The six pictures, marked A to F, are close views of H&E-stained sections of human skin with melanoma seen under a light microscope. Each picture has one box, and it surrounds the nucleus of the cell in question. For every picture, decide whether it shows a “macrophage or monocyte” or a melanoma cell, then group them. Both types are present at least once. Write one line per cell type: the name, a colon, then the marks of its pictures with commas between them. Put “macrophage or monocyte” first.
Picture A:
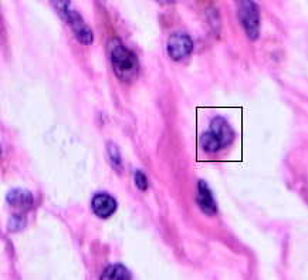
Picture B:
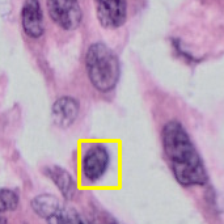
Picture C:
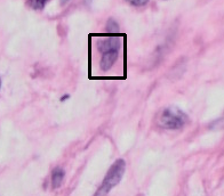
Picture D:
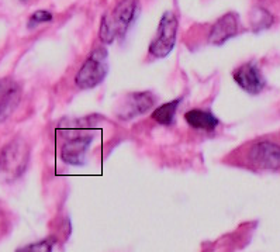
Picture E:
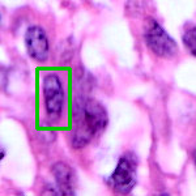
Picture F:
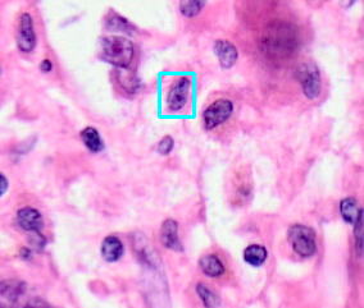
macrophage or monocyte: A, C, F
melanoma cell: B, D, E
